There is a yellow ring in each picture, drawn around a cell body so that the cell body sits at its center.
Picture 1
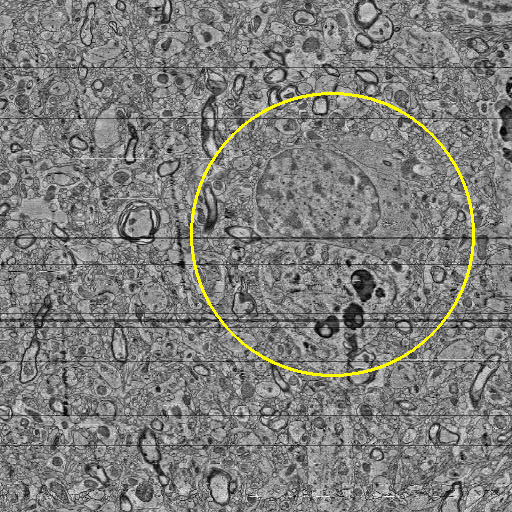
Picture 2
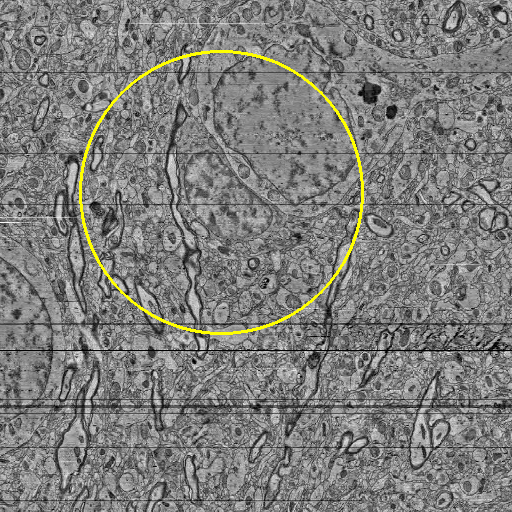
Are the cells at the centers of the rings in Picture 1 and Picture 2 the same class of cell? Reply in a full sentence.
Yes, the two cells are the same class of cell.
